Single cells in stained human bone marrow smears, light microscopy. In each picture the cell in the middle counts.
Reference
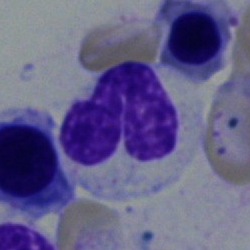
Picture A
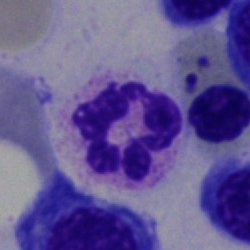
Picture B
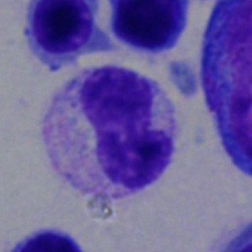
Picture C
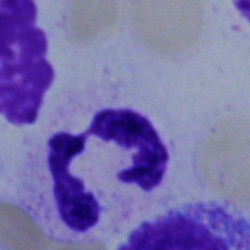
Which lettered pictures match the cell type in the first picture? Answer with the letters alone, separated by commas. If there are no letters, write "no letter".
B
